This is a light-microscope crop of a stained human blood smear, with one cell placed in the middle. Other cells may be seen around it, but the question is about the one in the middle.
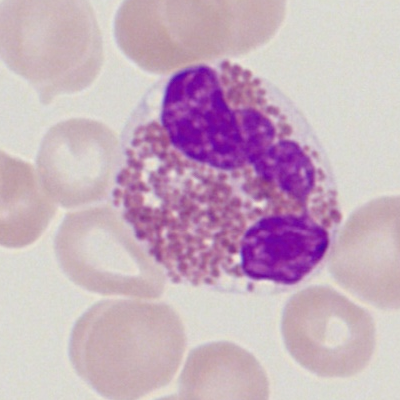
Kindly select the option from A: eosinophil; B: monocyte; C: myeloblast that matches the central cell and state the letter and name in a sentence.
Since the cell in the centre is an eosinophil, the correct option is A.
